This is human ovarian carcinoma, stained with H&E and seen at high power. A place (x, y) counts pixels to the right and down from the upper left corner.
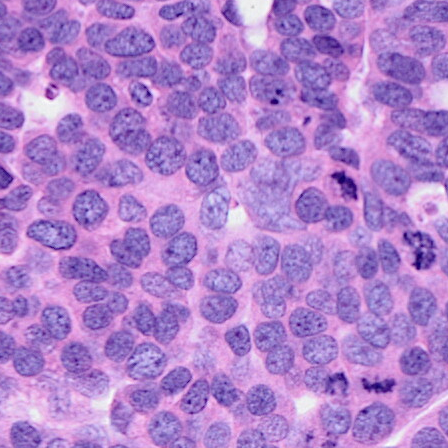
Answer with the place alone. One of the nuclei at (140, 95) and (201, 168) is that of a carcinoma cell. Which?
(201, 168)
